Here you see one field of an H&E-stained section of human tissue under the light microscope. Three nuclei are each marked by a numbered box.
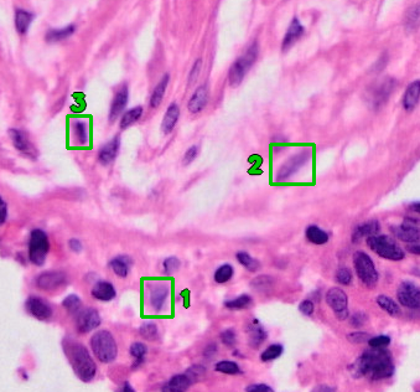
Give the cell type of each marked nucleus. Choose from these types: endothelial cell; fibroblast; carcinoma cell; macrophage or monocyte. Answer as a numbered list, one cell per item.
1. macrophage or monocyte
2. fibroblast
3. fibroblast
